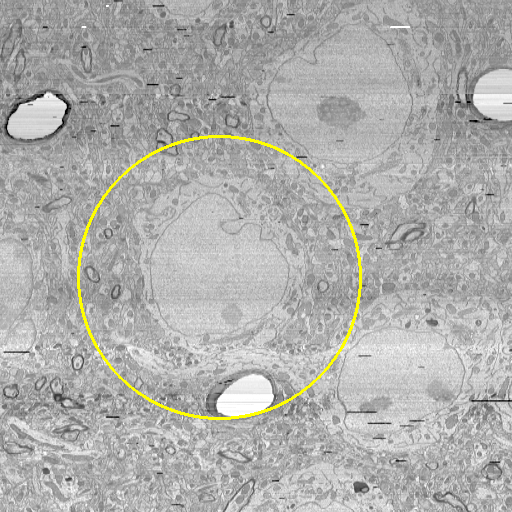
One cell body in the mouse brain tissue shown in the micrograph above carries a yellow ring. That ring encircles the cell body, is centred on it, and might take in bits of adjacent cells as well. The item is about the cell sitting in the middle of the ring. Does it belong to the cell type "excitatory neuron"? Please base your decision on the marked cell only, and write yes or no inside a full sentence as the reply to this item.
Yes, the cell at the middle of the ring in the micrograph is of this kind.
